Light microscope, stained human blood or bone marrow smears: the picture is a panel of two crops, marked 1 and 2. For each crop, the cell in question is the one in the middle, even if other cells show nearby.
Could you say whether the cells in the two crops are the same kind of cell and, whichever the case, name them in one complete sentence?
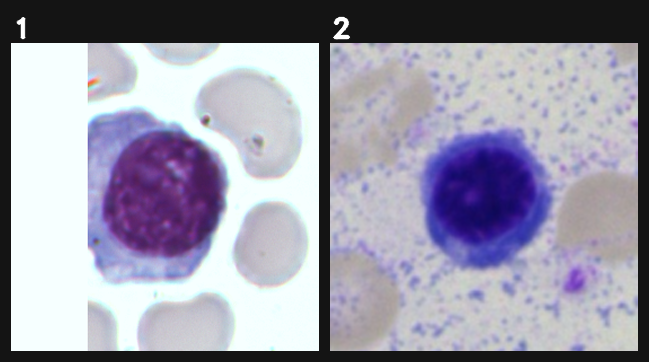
No, as for crop 1, it shows a plasma cell, and crop 2 shows a normoblast.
